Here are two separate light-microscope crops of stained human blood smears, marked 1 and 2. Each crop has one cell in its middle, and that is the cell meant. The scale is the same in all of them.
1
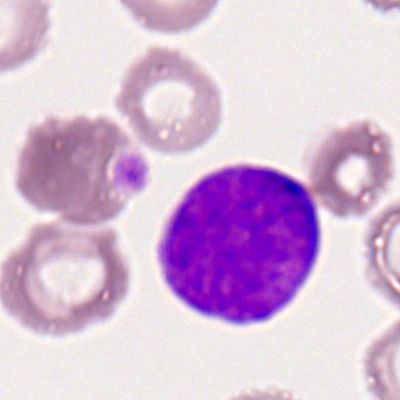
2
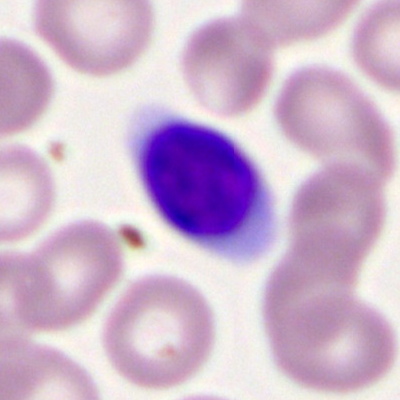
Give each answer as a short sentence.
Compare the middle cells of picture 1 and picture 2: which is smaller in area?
Smaller is the cell in picture 2, and the other is about 1.5 times as large in area.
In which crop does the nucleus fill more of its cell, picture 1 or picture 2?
Of the two, the nucleus in picture 1 makes up the greater part of its cell.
